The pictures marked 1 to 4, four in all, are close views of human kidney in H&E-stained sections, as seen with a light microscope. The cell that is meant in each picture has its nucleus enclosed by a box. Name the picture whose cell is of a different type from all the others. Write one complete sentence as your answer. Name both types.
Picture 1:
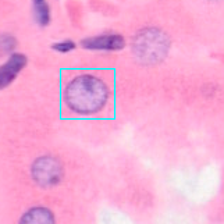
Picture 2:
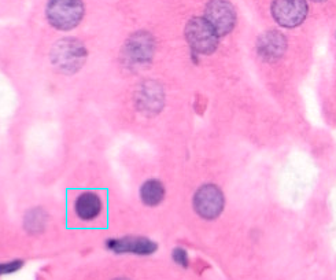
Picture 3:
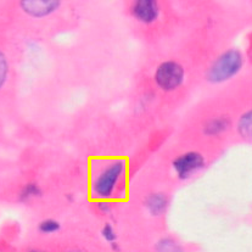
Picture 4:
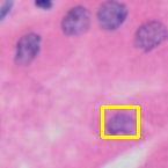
The different one is picture 3; it shows an endothelial cell, whereas all the others show proximal tubule cells.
